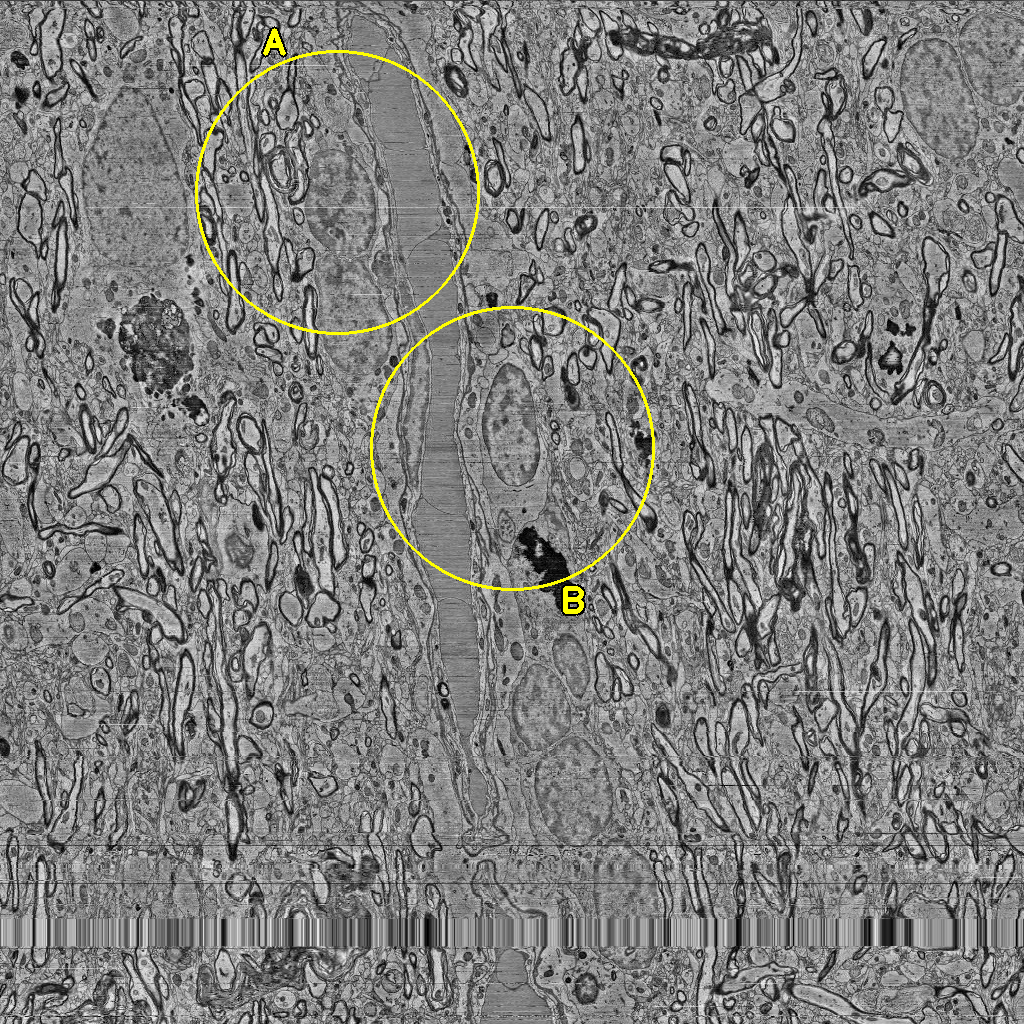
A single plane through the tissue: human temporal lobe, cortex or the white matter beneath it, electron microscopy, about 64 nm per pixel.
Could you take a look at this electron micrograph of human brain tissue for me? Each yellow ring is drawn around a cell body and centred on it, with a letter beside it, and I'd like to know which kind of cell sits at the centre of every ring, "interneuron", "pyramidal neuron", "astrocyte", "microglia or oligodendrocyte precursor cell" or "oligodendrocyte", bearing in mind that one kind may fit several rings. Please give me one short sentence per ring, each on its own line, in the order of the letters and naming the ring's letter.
Ring A is centred on an oligodendrocyte.
Ring B is centred on a microglial cell or oligodendrocyte precursor cell.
